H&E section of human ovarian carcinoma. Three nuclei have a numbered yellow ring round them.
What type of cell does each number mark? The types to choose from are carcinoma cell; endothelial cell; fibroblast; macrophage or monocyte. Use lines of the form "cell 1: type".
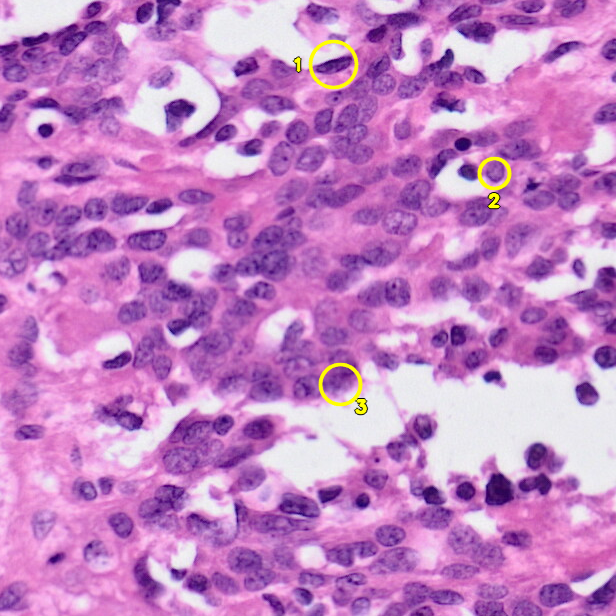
cell 1: macrophage or monocyte
cell 2: macrophage or monocyte
cell 3: carcinoma cell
